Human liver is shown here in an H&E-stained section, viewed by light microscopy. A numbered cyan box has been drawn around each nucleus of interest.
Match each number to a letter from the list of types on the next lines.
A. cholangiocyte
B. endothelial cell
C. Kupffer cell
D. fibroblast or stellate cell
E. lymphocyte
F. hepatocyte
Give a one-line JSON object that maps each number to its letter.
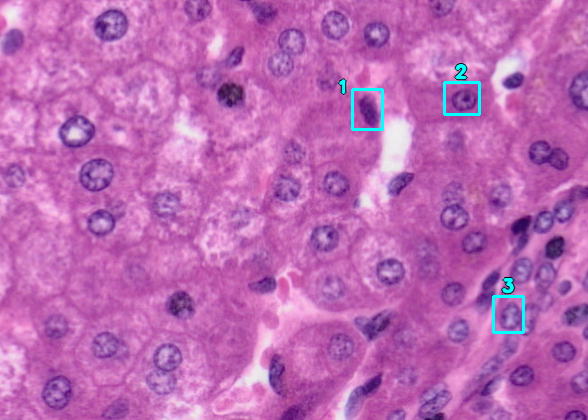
{"1": "D", "2": "F", "3": "A"}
